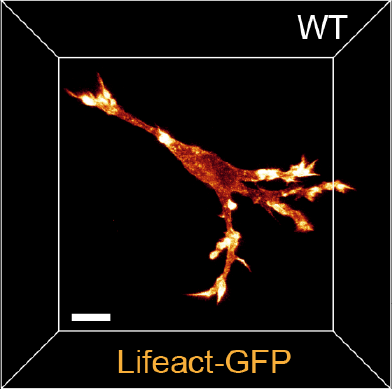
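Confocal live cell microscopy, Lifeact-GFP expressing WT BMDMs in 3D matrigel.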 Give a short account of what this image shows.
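A single cell rendered in three dimensions sits in the middle of the volume. It is drawn out into a long, branched shape, with a central body and several thin extensions that reach out in different directions.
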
